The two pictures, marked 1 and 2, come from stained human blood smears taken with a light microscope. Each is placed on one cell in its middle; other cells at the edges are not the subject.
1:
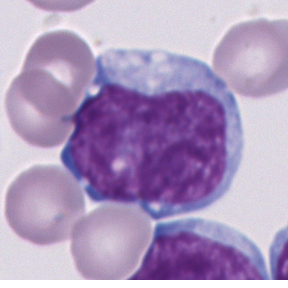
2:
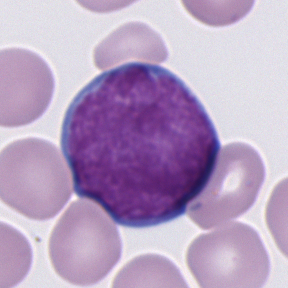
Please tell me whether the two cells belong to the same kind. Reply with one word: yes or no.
yes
